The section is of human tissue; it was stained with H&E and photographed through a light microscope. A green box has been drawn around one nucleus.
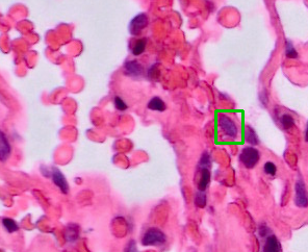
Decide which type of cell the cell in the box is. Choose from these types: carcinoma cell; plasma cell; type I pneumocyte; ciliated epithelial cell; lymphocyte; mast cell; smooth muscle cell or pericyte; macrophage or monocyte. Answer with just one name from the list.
type I pneumocyte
